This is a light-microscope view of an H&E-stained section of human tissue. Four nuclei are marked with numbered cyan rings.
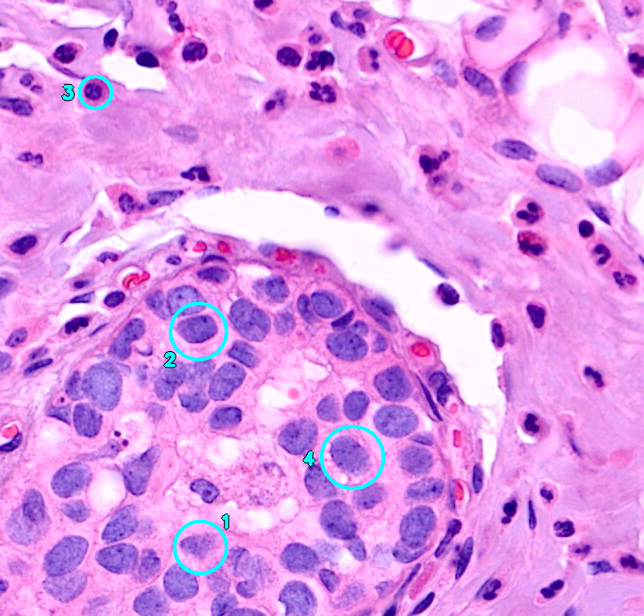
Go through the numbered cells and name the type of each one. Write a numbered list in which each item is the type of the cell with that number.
1. carcinoma cell
2. carcinoma cell
3. mast cell
4. carcinoma cell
